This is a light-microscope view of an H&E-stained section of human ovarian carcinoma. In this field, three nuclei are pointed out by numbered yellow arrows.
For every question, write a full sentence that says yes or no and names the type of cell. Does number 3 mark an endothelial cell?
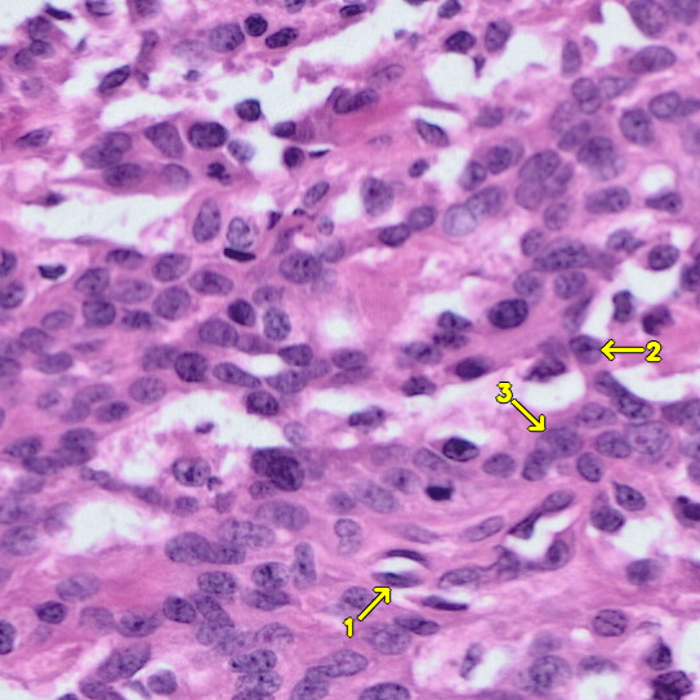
No, the cell given the number 3 is a carcinoma cell, so not an endothelial cell.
